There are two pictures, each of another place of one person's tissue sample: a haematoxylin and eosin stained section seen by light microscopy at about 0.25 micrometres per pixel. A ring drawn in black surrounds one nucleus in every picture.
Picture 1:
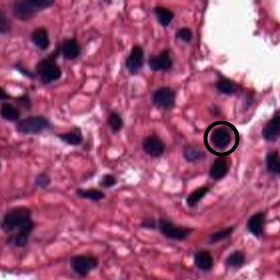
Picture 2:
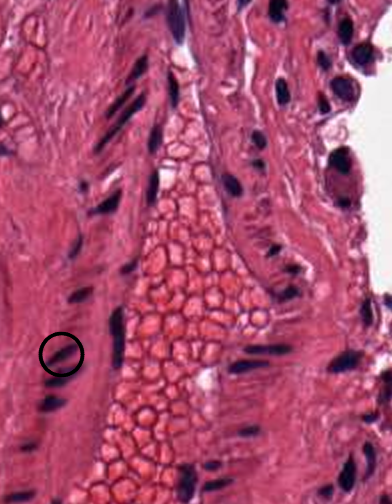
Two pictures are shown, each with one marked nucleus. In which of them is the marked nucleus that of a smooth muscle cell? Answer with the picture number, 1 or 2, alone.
2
